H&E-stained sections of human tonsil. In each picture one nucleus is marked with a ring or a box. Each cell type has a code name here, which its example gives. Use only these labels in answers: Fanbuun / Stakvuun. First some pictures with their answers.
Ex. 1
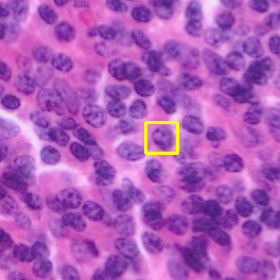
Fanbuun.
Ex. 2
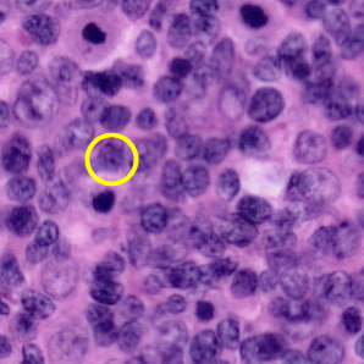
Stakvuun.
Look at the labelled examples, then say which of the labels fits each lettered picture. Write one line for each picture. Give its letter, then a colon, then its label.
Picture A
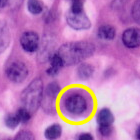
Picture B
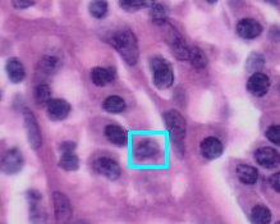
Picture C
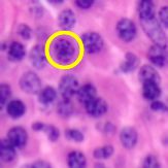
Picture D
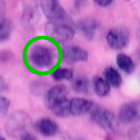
A: Fanbuun.
B: Fanbuun.
C: Fanbuun.
D: Stakvuun.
